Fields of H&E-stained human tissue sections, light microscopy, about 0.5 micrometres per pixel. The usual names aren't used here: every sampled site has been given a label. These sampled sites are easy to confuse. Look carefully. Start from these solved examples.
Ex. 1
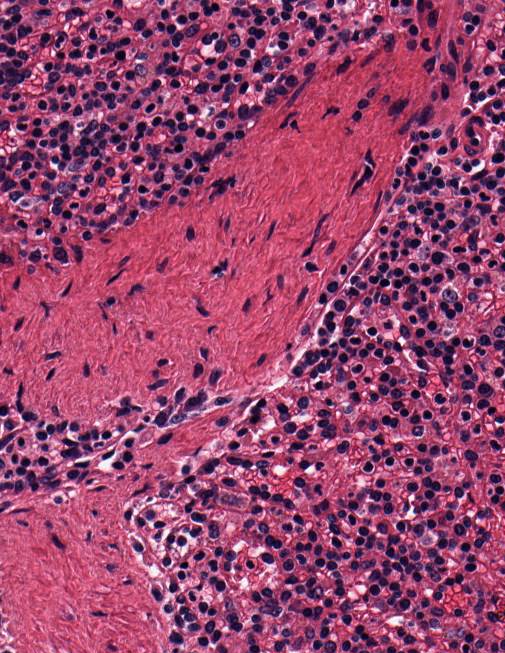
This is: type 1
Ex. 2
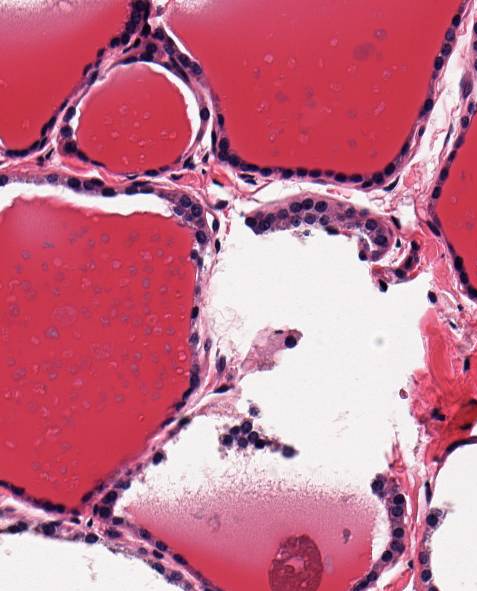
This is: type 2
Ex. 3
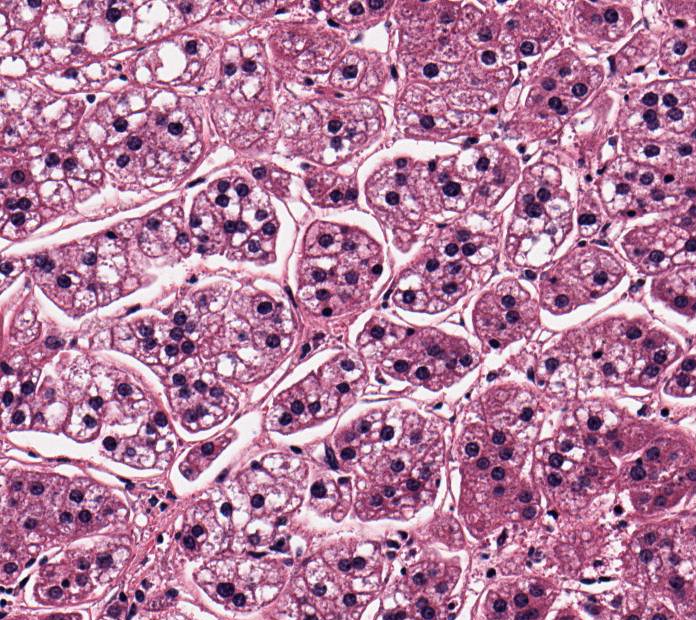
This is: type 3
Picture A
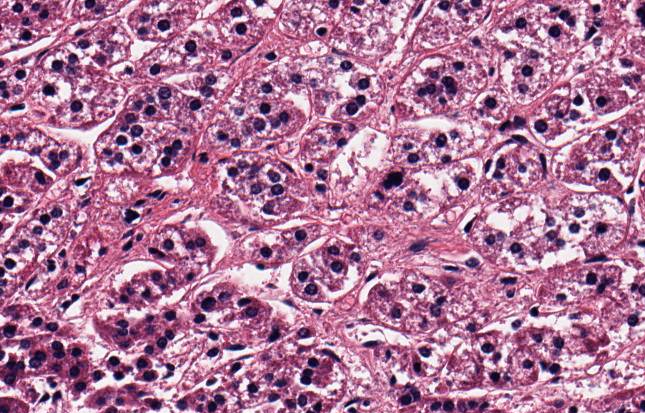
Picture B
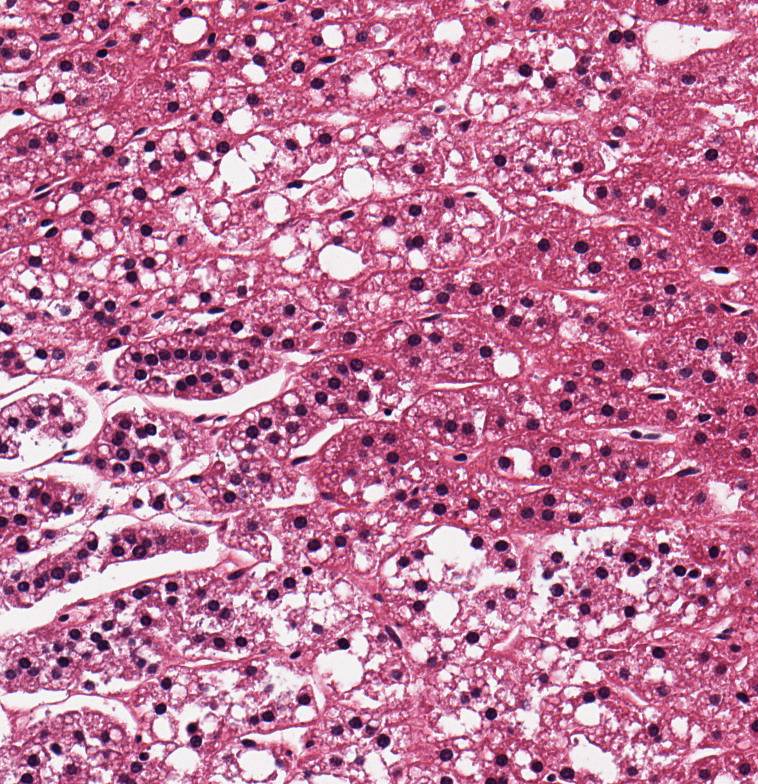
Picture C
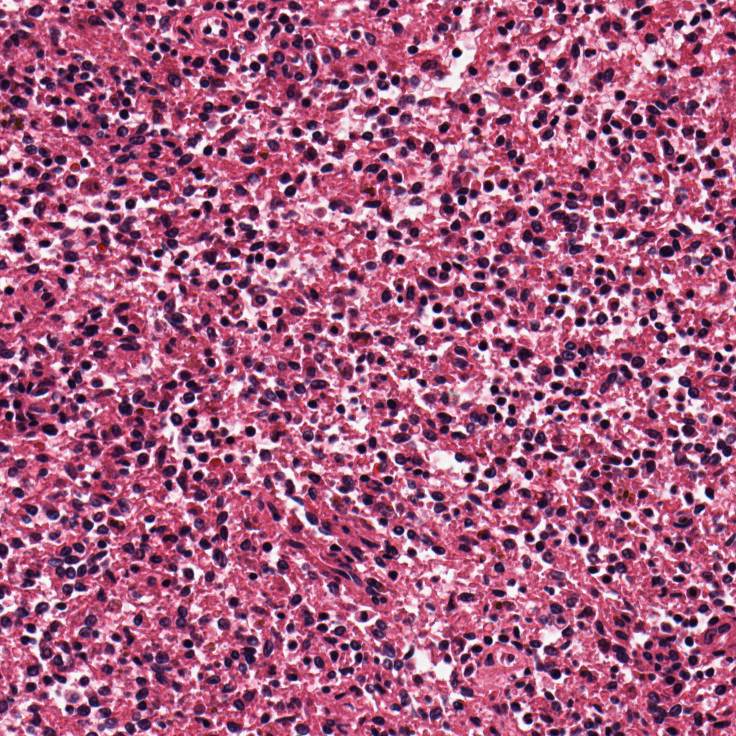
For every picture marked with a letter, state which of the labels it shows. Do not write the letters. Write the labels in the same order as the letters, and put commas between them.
type 3, type 3, type 1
